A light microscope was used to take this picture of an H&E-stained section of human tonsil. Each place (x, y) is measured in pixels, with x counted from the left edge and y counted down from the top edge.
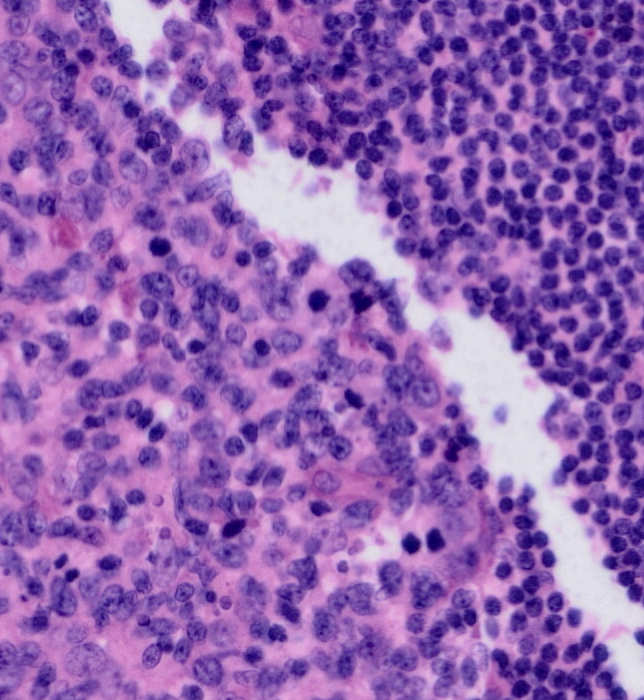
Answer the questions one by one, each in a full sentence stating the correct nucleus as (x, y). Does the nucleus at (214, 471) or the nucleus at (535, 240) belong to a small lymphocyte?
The one at (535, 240) is the nucleus belonging to a small lymphocyte, not the other one.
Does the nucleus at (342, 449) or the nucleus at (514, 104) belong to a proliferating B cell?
The nucleus whose cell is a proliferating B cell is the one at (342, 449).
